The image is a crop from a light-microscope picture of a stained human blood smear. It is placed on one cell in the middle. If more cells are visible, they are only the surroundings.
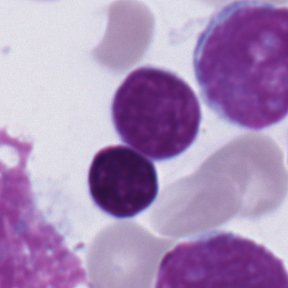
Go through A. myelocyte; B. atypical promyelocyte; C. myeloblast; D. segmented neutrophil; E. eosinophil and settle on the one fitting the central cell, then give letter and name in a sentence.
That the central cell is a myeloblast makes option C correct.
